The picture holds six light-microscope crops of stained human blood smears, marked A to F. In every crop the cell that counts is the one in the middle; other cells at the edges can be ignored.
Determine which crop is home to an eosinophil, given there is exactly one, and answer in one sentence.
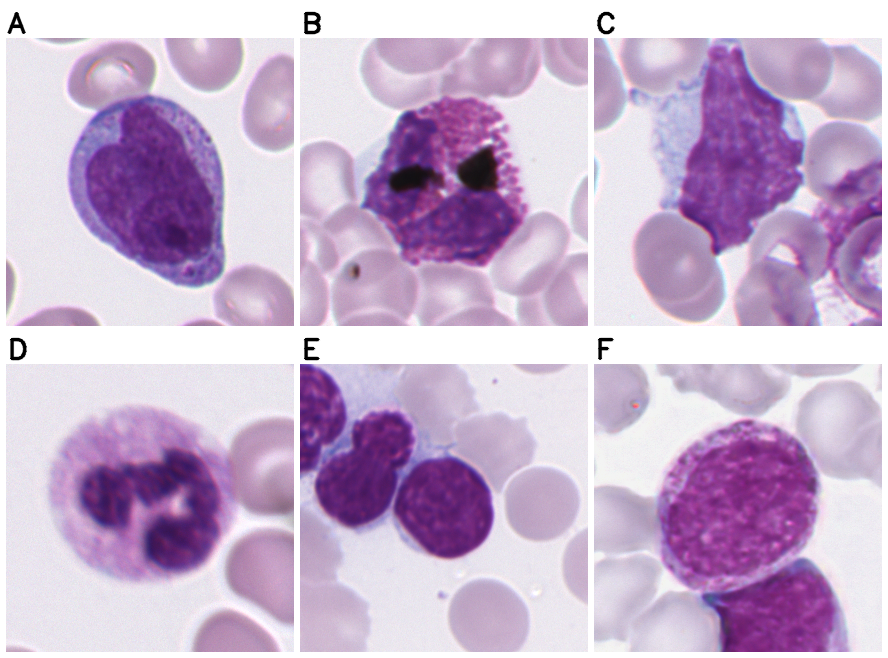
Crop B is identified as the crop showing an eosinophil.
